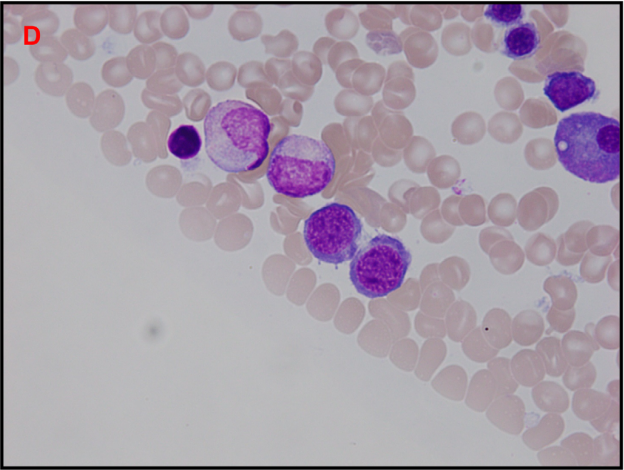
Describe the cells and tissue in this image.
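Bone marrow aspirate smear at high magnification showing several nucleated marrow cells lying among pale pink red blood cells. One small cell at the left has a very dense, dark, compact nucleus. The other nucleated cells are larger, with more open chromatin and varying amounts of cytoplasm.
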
